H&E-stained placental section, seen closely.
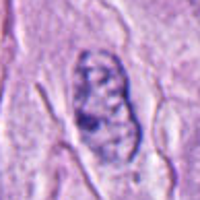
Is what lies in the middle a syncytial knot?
No, it is a maternal decidual cell.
